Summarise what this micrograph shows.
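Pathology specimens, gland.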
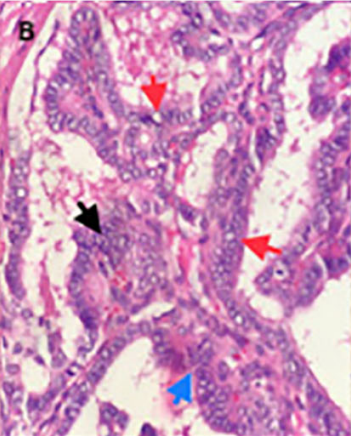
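These are tumor cells of a papillary thyroid carcinoma, lining branching fronds around thin fibrovascular cores. The nuclei are enlarged, oval and crowded so that they overlap one another instead of sitting in an orderly row. The cytoplasm is pink and the spaces between the fronds are pale.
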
